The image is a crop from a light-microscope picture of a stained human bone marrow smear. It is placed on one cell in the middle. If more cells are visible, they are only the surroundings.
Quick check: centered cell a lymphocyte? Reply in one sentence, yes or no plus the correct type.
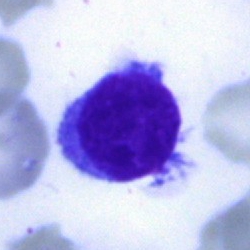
Yes, the central cell of this crop corresponds to a lymphocyte.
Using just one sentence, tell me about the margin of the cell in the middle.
Seen at its edge, the cell is not smooth but ragged or projecting.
